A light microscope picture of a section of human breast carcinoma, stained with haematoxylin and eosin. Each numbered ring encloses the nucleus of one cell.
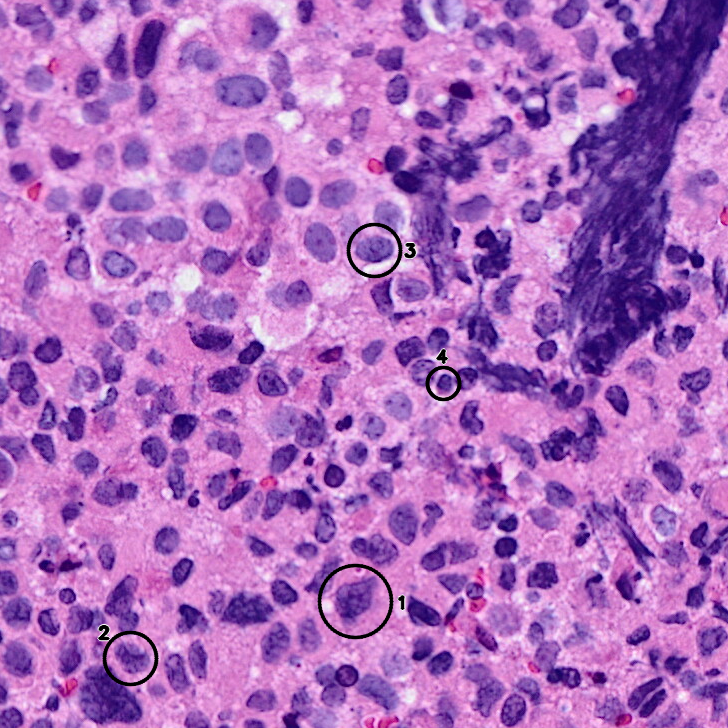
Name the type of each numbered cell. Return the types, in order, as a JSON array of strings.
["carcinoma cell", "carcinoma cell", "carcinoma cell", "lymphocyte"]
